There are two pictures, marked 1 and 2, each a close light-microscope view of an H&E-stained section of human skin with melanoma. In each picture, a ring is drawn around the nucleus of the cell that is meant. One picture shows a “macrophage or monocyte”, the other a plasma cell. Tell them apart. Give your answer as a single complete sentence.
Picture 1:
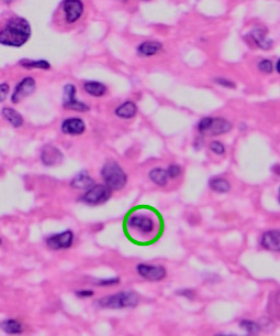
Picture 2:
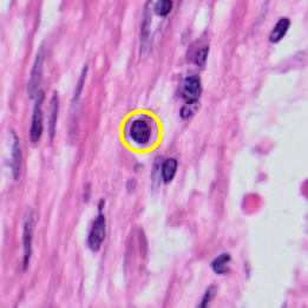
The cell in picture 1 is a “macrophage or monocyte”, and the one in picture 2 is a plasma cell.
